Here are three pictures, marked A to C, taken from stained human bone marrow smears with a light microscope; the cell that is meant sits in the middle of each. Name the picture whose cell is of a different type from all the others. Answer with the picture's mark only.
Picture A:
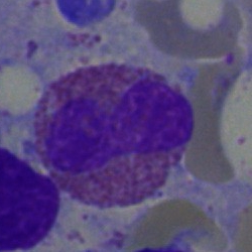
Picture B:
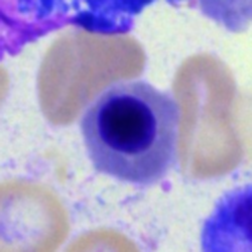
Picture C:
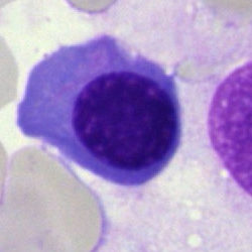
A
